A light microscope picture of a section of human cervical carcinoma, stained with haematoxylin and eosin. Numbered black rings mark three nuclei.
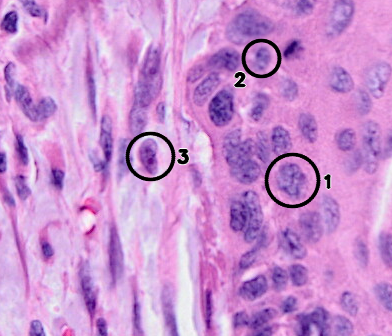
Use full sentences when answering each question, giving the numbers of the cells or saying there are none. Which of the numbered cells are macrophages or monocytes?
Only one of the numbered nuclei, number 3, belongs to a macrophage or monocyte.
